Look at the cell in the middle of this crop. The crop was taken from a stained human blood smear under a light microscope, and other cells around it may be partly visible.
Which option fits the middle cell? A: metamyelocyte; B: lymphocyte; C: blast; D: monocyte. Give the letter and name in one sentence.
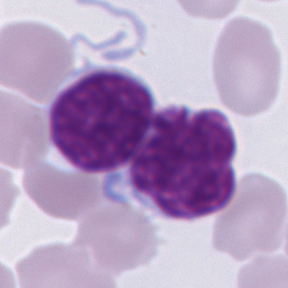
The central cell in this crop is a blast, so the correct choice is option C.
